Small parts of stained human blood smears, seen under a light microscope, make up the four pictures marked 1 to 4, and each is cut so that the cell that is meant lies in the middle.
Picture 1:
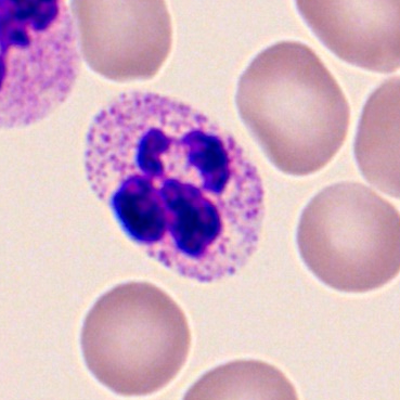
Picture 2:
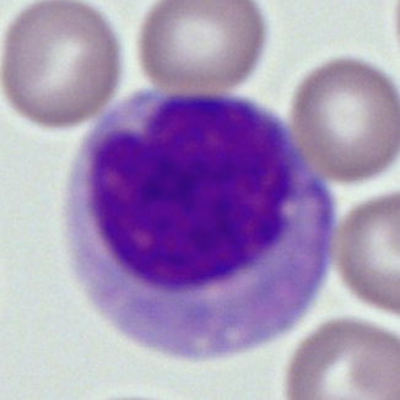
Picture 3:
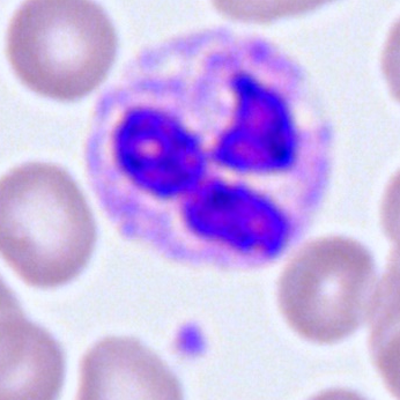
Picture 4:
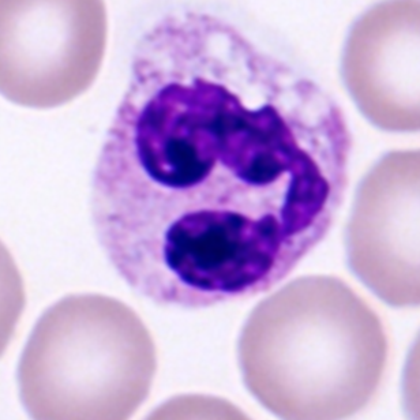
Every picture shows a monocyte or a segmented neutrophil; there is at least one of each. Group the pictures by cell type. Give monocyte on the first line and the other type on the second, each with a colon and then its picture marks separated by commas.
monocyte: 2
segmented neutrophil: 1, 3, 4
